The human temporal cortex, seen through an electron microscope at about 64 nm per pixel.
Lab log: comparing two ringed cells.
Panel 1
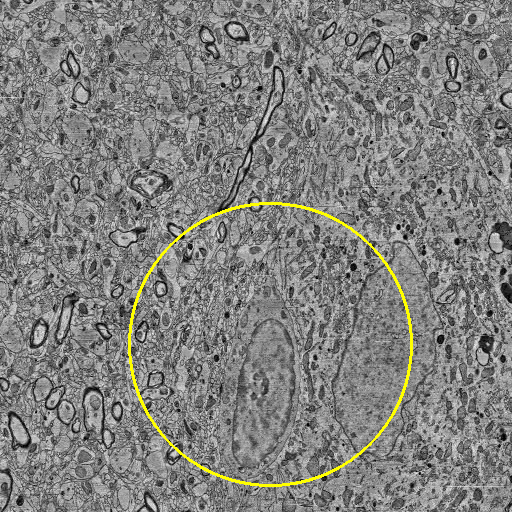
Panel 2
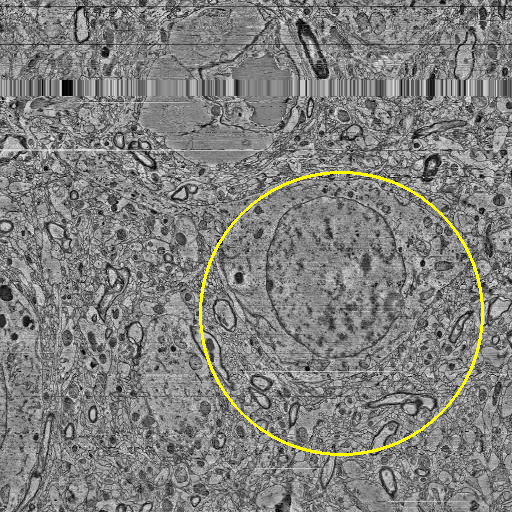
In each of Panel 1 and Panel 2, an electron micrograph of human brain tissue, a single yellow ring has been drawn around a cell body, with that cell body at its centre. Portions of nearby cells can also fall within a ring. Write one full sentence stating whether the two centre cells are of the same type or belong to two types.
The cells at the ring centres in Panel 1 and Panel 2 belong to two types.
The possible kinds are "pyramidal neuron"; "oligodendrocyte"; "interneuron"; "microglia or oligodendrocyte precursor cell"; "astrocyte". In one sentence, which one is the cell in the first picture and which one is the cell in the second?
The cell ringed in the second picture is a pyramidal neuron, whereas the one ringed in the first is a microglial cell or oligodendrocyte precursor cell.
